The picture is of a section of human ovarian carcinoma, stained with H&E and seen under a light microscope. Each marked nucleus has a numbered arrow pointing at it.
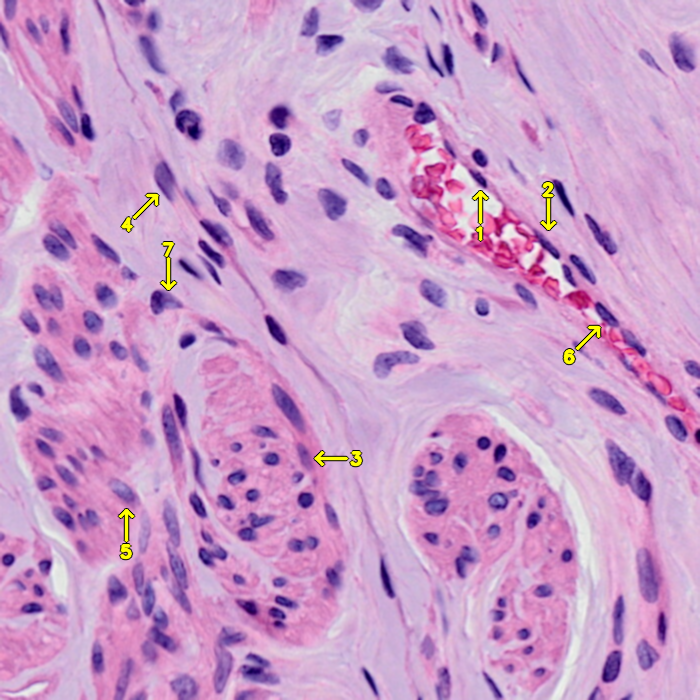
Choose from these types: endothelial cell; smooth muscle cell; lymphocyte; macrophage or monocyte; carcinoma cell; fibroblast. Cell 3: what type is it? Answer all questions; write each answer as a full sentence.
Recognised here as a smooth muscle cell is the cell numbered 3.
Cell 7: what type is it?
Number 7 among the marked cells is a fibroblast.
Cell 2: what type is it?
Number 2 is placed on an endothelial cell here.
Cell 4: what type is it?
Marked with the number 4, this cell is a fibroblast.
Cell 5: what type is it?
The cell to which the number 5 is assigned is a smooth muscle cell.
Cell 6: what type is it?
Number 6 is placed on an endothelial cell here.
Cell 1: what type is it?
The cell pointed out as number 1 is an endothelial cell.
